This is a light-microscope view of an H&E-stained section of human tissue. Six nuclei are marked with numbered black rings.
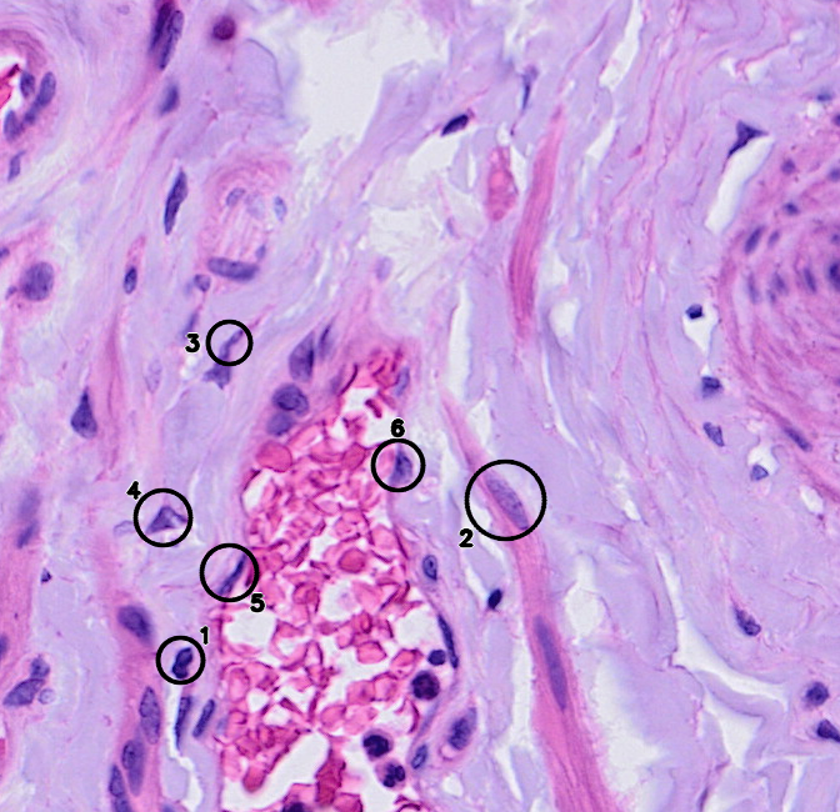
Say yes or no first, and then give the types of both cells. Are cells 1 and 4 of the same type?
No, rather, cell 1 is a lymphocyte and cell 4 is a fibroblast.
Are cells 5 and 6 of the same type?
Yes, in terms of cell type, cells 5 and 6 are both endothelial cells.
